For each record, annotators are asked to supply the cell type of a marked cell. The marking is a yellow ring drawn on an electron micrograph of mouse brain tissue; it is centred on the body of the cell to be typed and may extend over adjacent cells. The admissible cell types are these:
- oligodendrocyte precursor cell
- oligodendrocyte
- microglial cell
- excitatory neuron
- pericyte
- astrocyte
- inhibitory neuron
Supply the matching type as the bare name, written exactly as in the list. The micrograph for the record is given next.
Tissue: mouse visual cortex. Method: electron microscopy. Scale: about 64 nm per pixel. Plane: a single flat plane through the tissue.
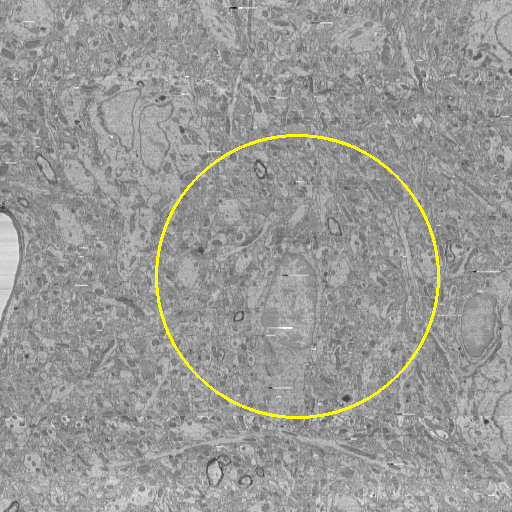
oligodendrocyte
